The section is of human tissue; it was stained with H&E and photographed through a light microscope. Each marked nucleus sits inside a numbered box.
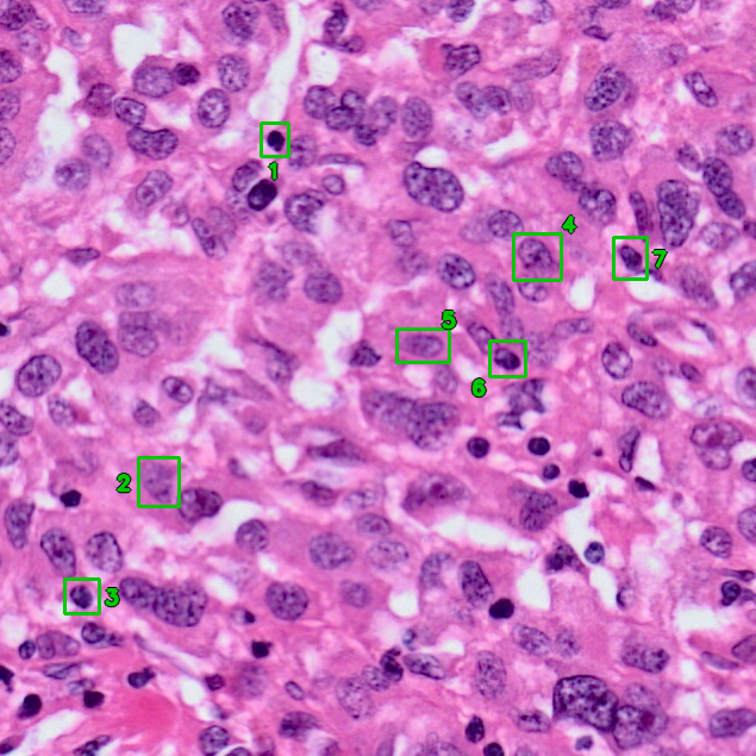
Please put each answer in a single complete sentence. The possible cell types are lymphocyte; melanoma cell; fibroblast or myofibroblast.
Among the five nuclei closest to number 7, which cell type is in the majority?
Melanoma cells account for more than half of the five nuclei nearest to number 7.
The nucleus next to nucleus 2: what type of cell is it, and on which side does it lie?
It is a melanoma cell, whose nucleus lies below and to the right of nucleus 2.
